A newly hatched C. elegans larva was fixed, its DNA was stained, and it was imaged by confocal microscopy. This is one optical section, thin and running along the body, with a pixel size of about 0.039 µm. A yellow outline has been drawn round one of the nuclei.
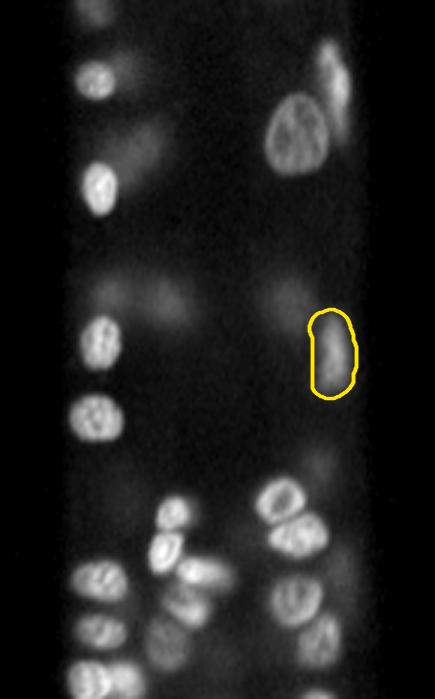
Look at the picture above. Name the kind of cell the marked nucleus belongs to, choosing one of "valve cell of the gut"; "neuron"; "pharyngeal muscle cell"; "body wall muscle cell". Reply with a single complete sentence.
The marked nucleus belongs to a body wall muscle cell.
